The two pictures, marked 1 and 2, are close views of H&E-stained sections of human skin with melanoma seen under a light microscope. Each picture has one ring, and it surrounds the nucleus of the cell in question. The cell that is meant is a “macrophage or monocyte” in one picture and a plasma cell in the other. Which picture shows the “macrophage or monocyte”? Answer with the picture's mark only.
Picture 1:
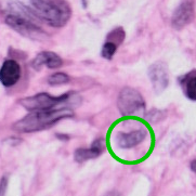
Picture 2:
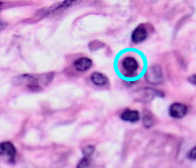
1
